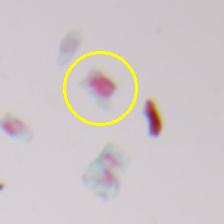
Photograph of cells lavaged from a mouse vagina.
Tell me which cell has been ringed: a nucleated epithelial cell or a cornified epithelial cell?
It is a nucleated epithelial cell.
